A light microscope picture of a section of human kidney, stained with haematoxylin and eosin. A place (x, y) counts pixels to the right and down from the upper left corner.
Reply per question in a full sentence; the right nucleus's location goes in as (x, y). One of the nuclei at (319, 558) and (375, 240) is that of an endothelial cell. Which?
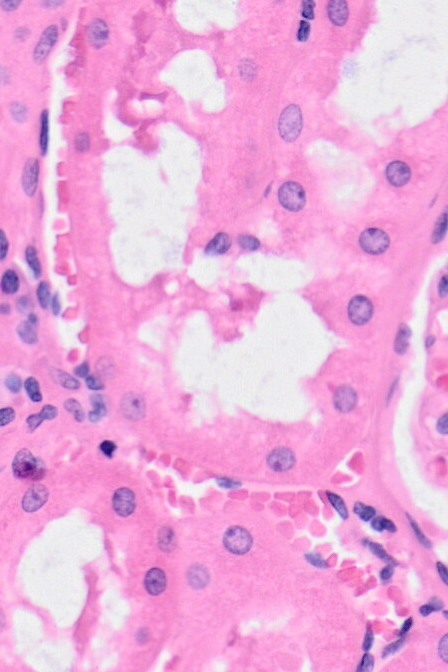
The nucleus whose position is (319, 558) belongs to an endothelial cell.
